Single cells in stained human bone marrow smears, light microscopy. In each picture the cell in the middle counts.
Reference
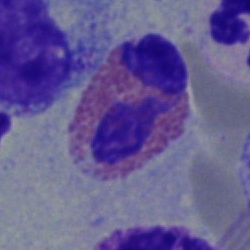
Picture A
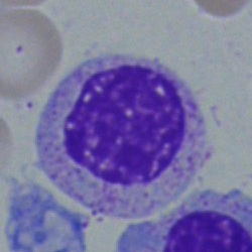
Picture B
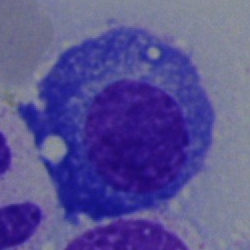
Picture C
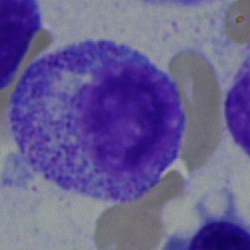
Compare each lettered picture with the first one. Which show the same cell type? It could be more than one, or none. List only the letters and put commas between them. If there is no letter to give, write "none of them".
none of them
